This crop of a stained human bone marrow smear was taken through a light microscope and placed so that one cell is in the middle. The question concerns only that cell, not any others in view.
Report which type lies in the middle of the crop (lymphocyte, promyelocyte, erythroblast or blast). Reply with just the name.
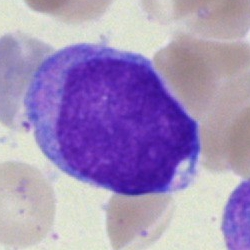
blast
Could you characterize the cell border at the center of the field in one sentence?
Nothing juts out from the margin, which is smooth throughout.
